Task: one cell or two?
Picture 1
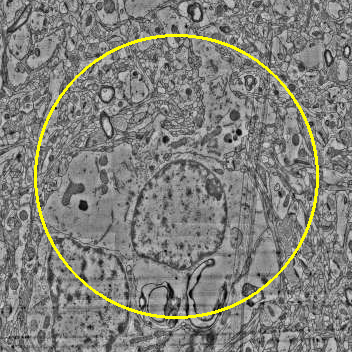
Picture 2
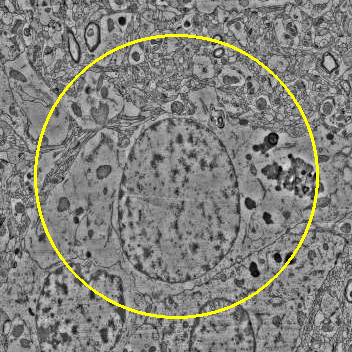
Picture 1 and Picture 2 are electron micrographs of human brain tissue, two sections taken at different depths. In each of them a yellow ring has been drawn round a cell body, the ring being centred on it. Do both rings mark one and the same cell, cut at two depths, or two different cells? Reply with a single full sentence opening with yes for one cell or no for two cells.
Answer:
Yes, the second ring marks the same cell as the first.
